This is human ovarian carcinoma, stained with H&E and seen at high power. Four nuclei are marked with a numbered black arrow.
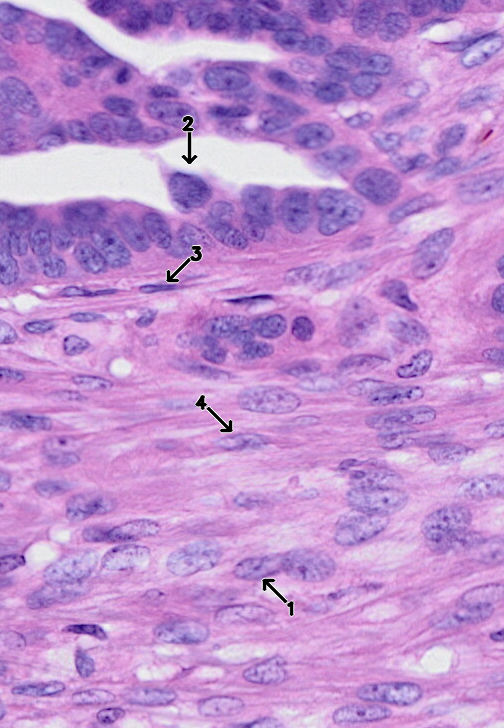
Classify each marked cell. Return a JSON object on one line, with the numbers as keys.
{"1": "fibroblast", "2": "carcinoma cell", "3": "fibroblast", "4": "fibroblast"}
